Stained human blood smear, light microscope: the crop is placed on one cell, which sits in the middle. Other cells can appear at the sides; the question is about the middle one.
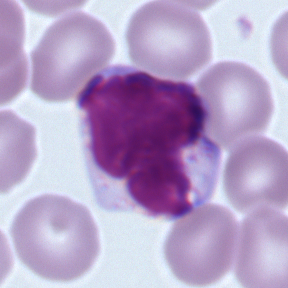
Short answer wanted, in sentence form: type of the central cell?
The crop shows a large granular lymphocyte in its centre.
